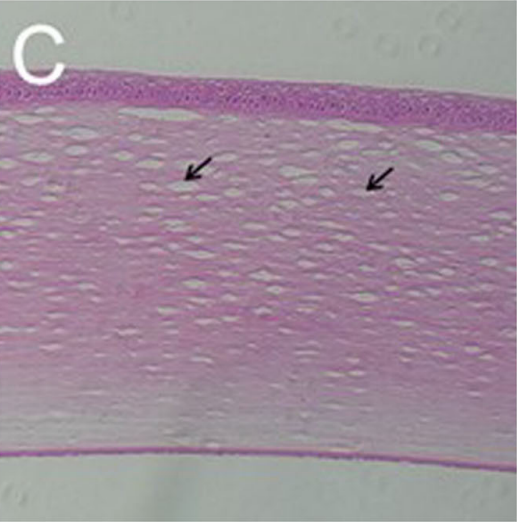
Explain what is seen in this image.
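This is a cross-section of the cornea at higher magnification, showing the surface epithelium above and the thick stroma below. The epithelium forms a dense purple band of several layers of small, closely packed cells. Beneath it the stroma consists of pale pink, wavy lamellae stacked parallel to the surface. Between these lamellae lie many clear, elongated spaces, so the stroma looks loosened and sieve-like, most of all in its upper and middle parts. Toward the bottom the lamellae lie more compactly, and a thin pink line marks the posterior surface.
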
